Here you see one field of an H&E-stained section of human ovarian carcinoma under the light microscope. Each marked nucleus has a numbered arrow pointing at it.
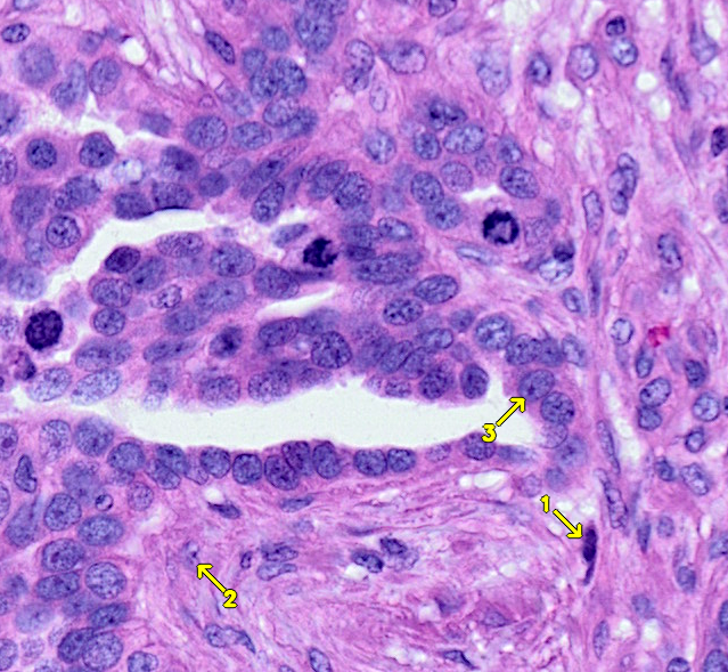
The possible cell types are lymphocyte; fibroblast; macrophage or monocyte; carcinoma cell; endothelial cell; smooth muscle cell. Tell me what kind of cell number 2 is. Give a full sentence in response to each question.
The cell that is numbered 2 is a fibroblast.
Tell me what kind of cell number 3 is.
The numeral 3 marks a carcinoma cell in this section.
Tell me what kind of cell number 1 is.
The expected answer is that cell 1 is a macrophage or monocyte.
